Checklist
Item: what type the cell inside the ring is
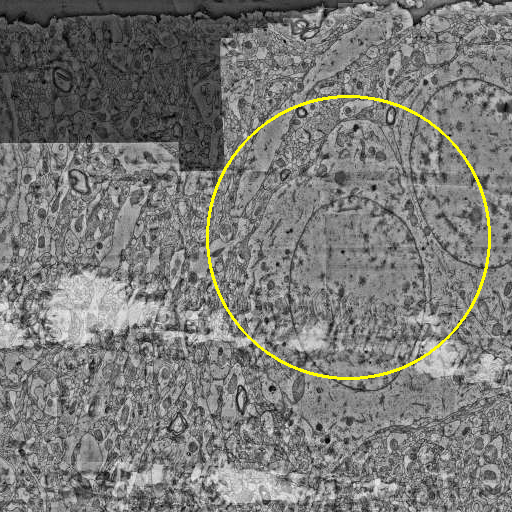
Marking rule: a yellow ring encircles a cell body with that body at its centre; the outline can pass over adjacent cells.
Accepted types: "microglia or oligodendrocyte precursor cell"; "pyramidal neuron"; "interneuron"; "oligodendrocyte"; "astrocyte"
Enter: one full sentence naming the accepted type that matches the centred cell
The entry is that a pyramidal neuron lies at the centre of the yellow ring.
